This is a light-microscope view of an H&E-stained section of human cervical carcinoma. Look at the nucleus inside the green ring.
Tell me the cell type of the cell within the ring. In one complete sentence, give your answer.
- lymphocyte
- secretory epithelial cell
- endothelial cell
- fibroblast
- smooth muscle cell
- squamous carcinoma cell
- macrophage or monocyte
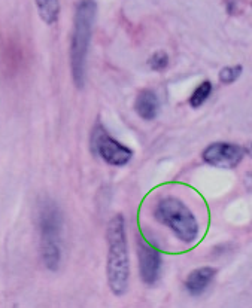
The cell type of the cell within the ring is that of an endothelial cell.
